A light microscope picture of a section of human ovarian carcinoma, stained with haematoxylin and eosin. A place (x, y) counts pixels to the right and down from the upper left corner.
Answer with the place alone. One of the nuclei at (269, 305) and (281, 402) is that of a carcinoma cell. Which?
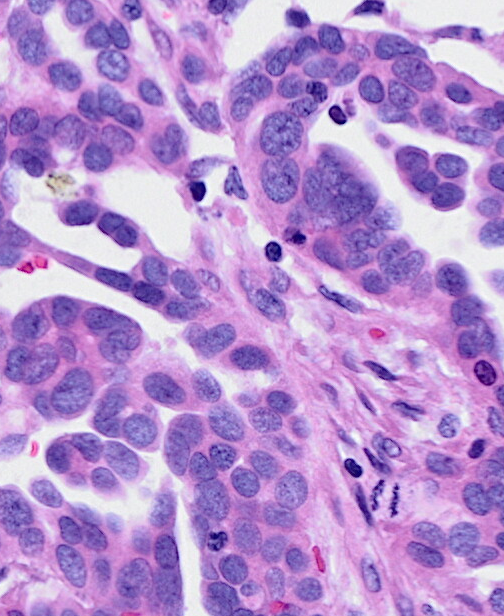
(281, 402)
